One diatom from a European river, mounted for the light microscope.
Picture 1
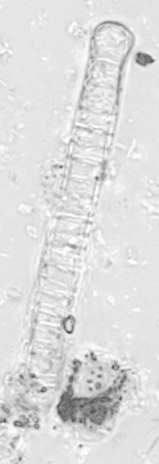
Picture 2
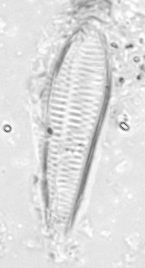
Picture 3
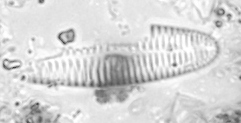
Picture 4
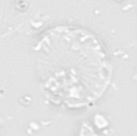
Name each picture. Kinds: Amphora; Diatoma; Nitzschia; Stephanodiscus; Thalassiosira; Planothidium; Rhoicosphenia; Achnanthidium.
(1) Diatoma
(2) Rhoicosphenia
(3) Rhoicosphenia
(4) Stephanodiscus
